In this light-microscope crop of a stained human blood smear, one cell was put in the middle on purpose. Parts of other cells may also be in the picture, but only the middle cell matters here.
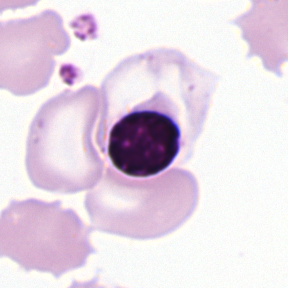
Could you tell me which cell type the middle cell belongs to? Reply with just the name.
normoblast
